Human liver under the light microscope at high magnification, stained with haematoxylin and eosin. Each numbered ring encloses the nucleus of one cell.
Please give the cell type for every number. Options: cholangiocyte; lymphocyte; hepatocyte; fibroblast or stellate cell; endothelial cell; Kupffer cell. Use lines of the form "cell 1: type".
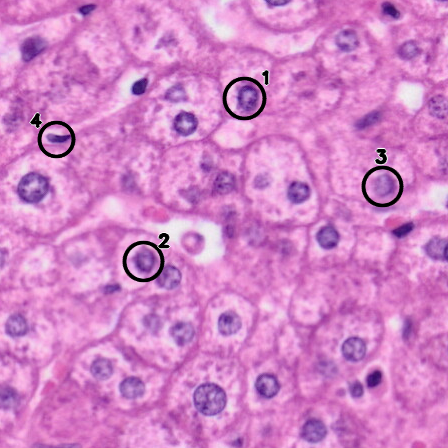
cell 1: hepatocyte
cell 2: hepatocyte
cell 3: hepatocyte
cell 4: endothelial cell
